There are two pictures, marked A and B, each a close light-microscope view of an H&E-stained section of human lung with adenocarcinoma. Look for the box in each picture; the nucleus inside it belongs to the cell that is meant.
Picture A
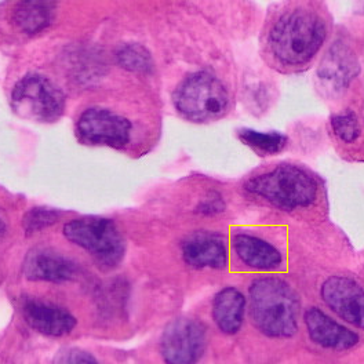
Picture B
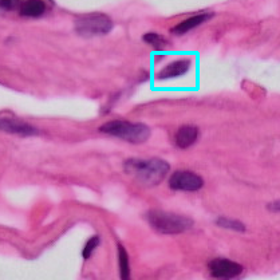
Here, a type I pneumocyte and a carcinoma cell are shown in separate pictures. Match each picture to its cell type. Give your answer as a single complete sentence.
In picture A the cell is a carcinoma cell; in picture B, a type I pneumocyte.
